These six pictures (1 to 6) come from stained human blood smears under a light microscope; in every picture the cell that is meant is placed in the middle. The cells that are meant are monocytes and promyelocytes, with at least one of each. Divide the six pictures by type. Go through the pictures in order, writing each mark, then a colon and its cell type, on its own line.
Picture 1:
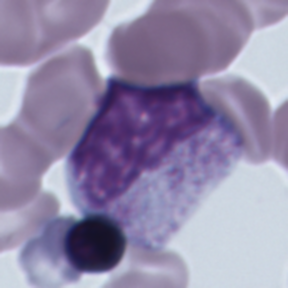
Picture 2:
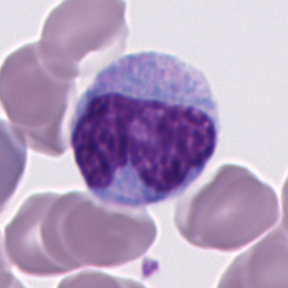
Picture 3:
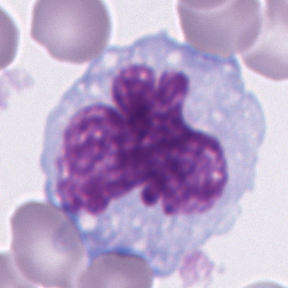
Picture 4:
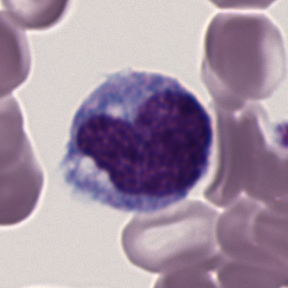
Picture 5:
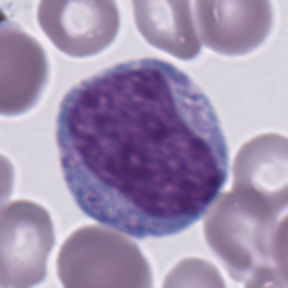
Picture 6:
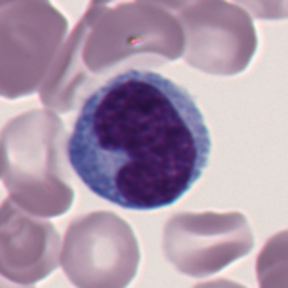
1: promyelocyte
2: monocyte
3: monocyte
4: monocyte
5: promyelocyte
6: monocyte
